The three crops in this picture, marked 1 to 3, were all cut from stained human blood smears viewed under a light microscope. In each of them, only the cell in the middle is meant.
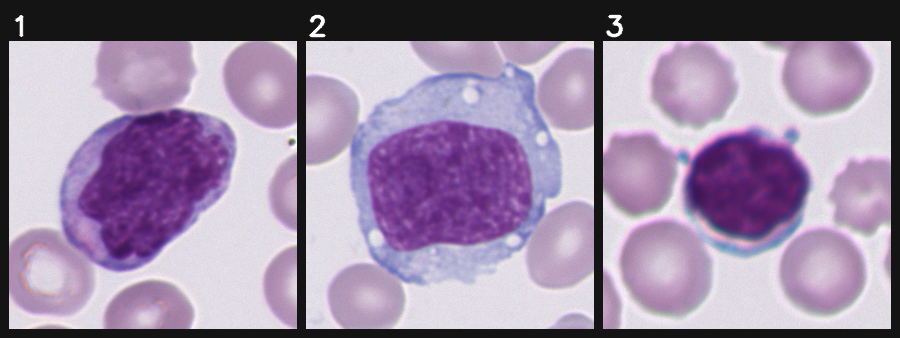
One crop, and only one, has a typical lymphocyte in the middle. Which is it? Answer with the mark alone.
3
